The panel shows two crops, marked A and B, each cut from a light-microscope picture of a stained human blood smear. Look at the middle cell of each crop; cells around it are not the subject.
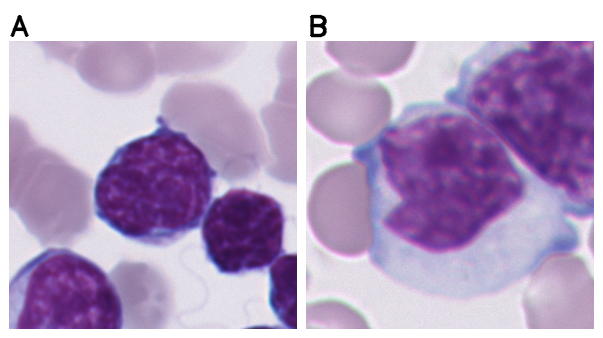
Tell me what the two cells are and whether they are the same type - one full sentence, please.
Yes, both crops are centred on myeloblasts.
